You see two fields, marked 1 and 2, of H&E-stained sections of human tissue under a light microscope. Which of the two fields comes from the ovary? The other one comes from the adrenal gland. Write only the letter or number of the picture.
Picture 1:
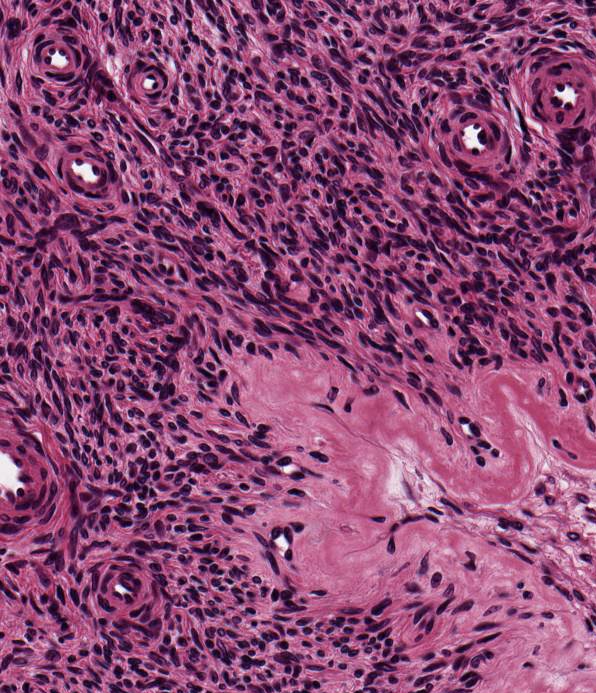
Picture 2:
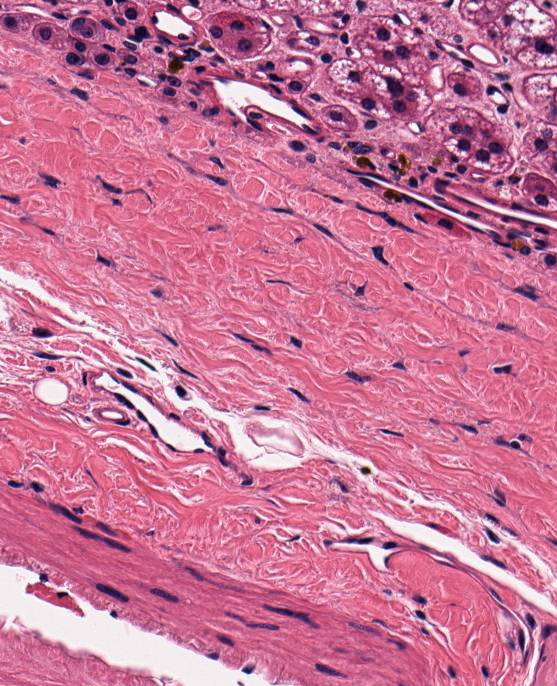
1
